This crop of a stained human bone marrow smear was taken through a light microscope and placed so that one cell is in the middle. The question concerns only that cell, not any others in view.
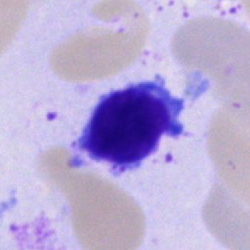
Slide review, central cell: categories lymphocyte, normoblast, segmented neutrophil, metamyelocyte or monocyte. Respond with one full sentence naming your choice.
The central element of this crop is a cell, namely a lymphocyte.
